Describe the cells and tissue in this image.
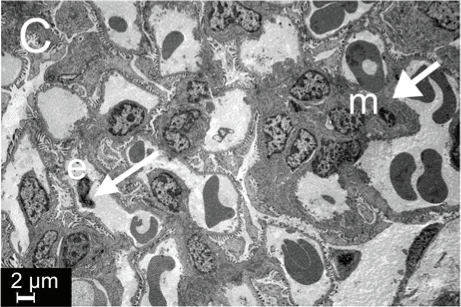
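This glomerulus shows many closely packed capillary loops, many holding dark red blood cells, with mesangial and endothelial cells between and around them. The cells have dark, irregular nuclei with clumped chromatin, and fine foot processes line the outer surfaces of the capillary walls.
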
